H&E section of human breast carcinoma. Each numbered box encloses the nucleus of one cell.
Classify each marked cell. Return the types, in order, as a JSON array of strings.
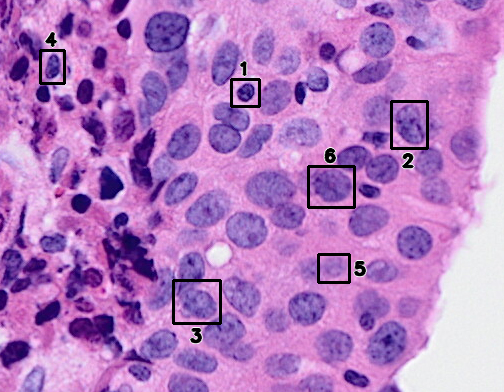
["lymphocyte", "carcinoma cell", "carcinoma cell", "lymphocyte", "carcinoma cell", "carcinoma cell"]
